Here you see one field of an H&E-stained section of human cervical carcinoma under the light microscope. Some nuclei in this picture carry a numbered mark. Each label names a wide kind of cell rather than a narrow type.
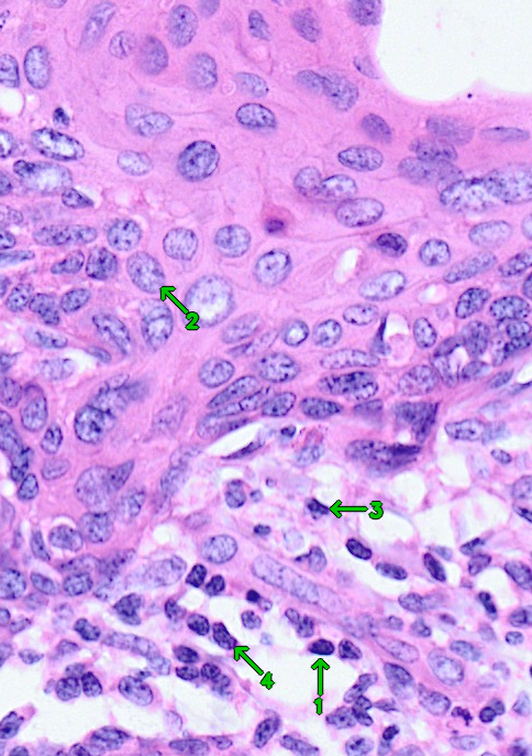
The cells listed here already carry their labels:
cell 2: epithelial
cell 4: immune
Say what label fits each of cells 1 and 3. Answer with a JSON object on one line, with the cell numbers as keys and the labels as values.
{"1": "immune", "3": "immune"}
